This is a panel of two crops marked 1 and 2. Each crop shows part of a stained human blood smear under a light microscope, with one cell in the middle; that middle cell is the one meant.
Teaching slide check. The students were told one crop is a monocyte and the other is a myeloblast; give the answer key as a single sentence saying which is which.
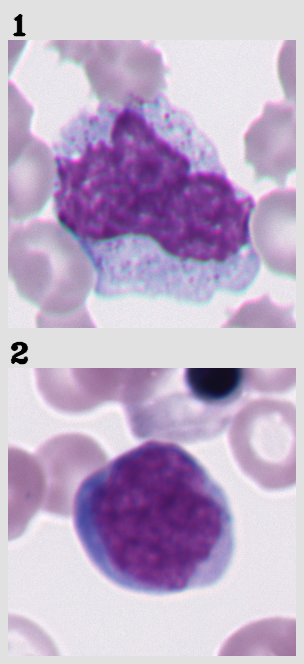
Crop 1 holds a monocyte; a myeloblast occupies crop 2.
